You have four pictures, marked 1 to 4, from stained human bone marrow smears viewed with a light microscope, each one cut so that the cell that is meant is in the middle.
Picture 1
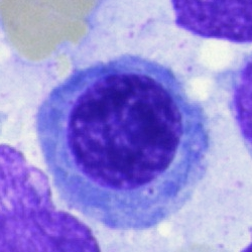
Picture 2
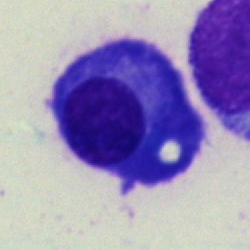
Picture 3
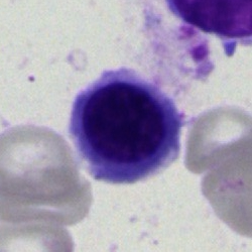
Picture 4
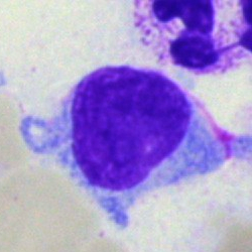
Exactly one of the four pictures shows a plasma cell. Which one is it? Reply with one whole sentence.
The picture with the plasma cell is 2.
